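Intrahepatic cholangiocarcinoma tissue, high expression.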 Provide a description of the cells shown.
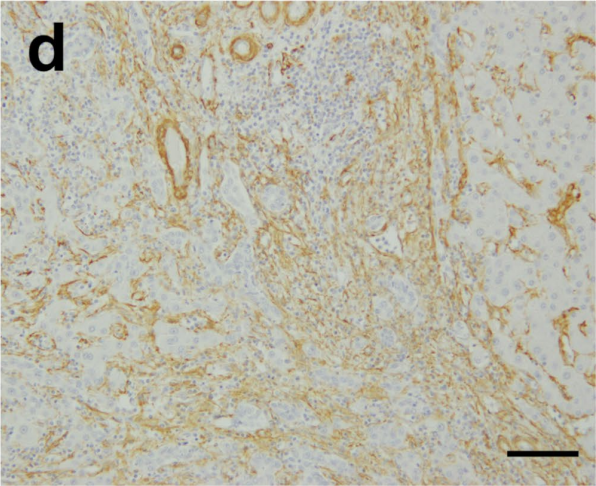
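This is tumour tissue with a broad band of fibrous stroma running through the field, densely stained brown. Small groups and cords of unstained tumour cells with blue nuclei are embedded in the brown fibrous network, and clusters of small dark-nucleated inflammatory cells lie within it. Vessel walls stand out as thick brown rings. Toward one side, large polygonal cells with abundant pale cytoplasm lie in sheets with thin brown lines running between them.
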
